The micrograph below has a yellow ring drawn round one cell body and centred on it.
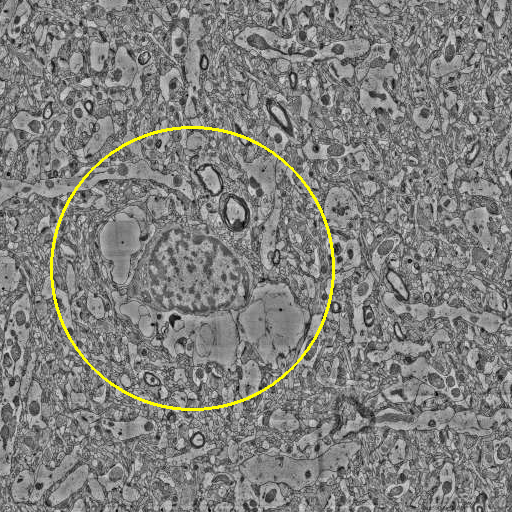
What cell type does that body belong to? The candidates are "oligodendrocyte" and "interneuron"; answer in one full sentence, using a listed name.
This is an oligodendrocyte, the cell whose body lies at the centre of the ring.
